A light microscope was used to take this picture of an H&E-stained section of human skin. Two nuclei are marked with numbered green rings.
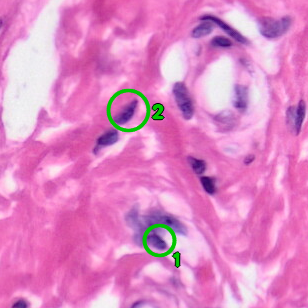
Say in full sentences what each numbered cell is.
Cell 1 is an endothelial cell and cell 2 is a fibroblast.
